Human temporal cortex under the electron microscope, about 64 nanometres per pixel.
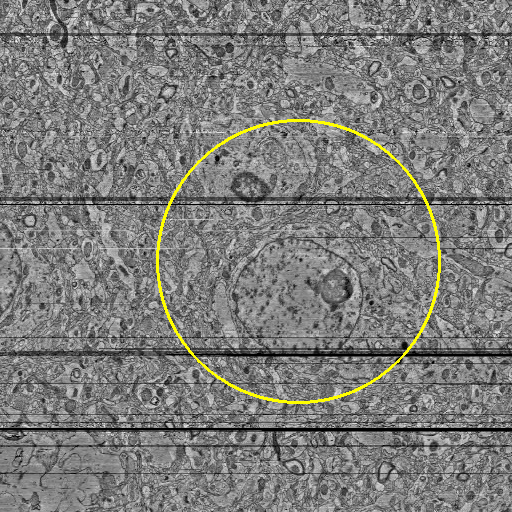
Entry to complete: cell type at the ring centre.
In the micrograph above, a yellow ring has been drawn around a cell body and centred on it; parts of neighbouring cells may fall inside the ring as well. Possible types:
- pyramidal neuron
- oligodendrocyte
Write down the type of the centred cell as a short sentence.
The ring is centred on a pyramidal neuron.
